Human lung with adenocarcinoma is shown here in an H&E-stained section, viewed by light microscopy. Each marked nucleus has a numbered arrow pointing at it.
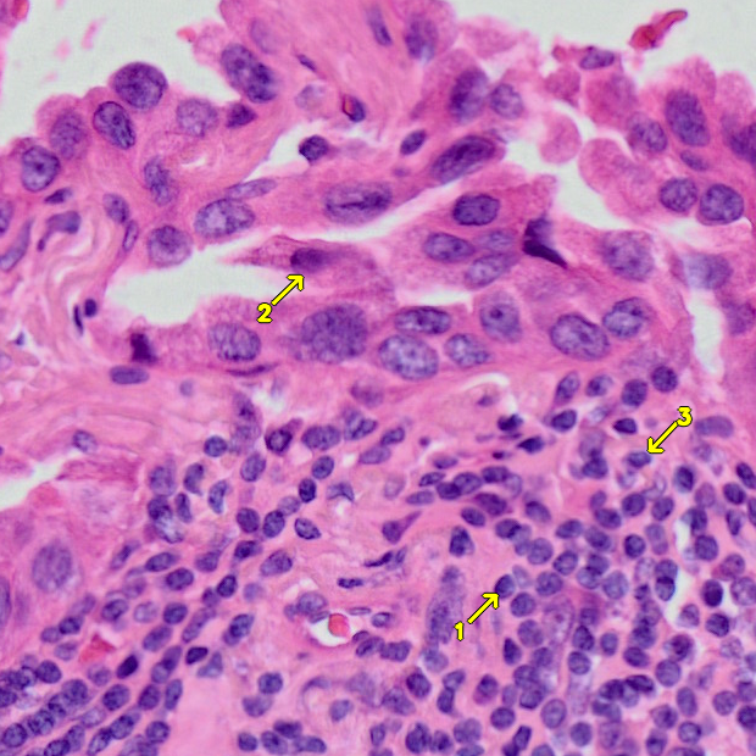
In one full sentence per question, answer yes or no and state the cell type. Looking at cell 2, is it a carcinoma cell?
Yes, the cell distinguished by number 2 is a carcinoma cell.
